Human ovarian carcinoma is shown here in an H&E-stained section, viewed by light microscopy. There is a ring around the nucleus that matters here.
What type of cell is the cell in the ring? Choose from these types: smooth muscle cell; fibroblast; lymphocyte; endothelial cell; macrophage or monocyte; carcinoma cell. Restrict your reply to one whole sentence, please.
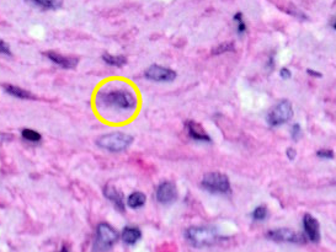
With respect to cell type, the cell in the ring is a fibroblast.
